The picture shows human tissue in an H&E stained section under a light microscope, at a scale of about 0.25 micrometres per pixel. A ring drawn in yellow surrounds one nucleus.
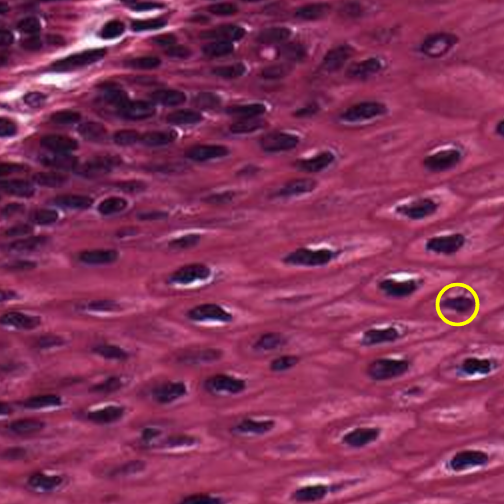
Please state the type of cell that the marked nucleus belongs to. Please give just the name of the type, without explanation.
squamous epithelial cell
